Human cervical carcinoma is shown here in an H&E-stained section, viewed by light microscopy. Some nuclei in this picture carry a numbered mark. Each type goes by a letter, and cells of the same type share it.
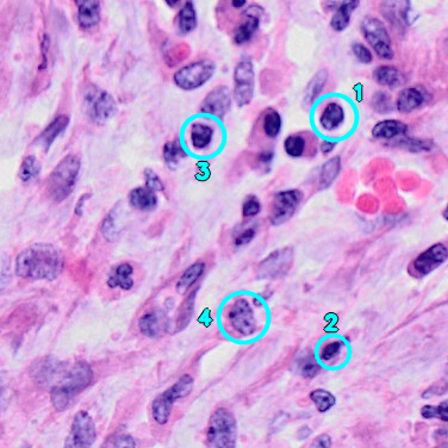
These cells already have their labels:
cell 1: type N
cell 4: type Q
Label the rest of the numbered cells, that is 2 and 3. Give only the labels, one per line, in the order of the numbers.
type N
type N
